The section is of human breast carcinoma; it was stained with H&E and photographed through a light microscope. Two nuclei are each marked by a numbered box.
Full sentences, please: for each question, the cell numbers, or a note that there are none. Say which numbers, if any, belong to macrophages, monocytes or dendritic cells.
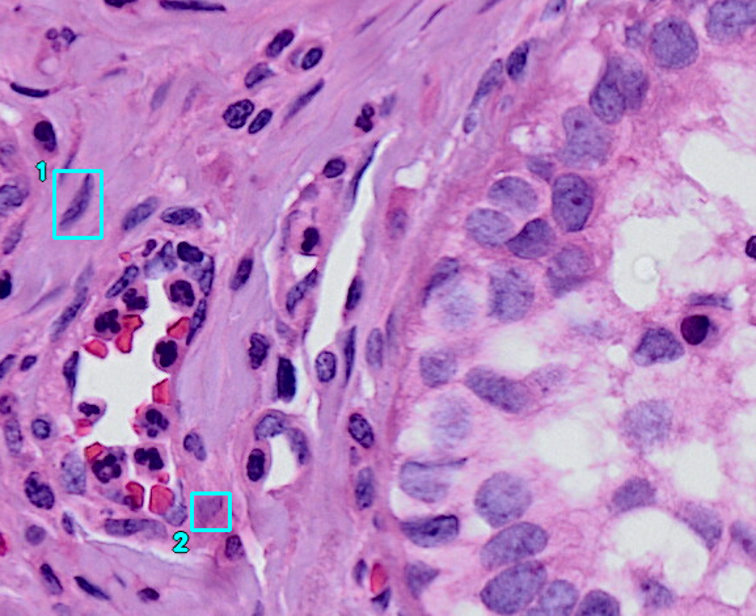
Identified by number, the marked cells include no macrophages, monocytes or dendritic cells.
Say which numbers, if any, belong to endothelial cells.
Cell 2 is an endothelial cell, while all remaining marked cells are of other types.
